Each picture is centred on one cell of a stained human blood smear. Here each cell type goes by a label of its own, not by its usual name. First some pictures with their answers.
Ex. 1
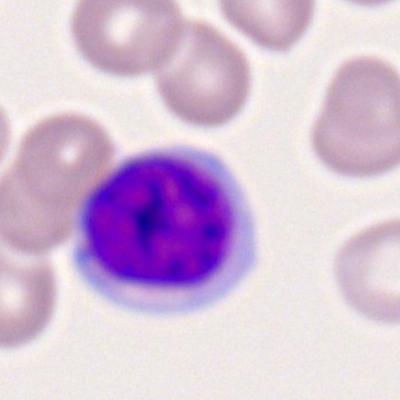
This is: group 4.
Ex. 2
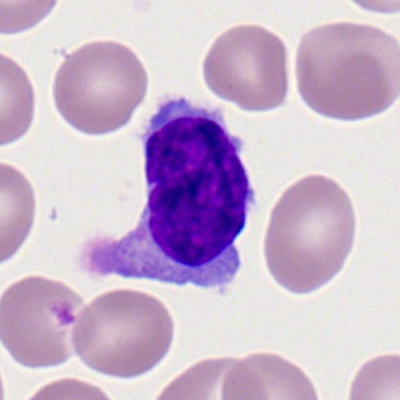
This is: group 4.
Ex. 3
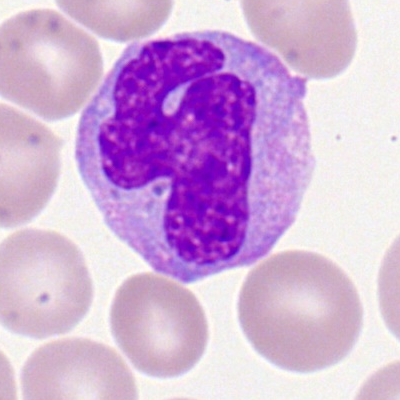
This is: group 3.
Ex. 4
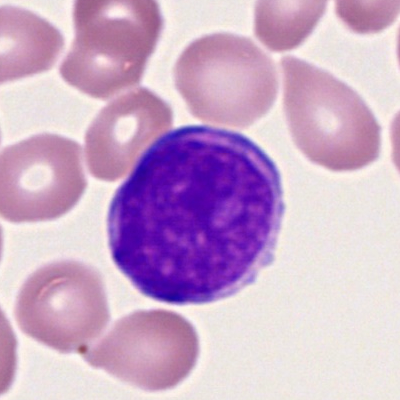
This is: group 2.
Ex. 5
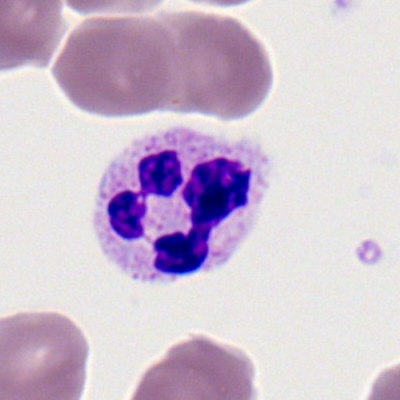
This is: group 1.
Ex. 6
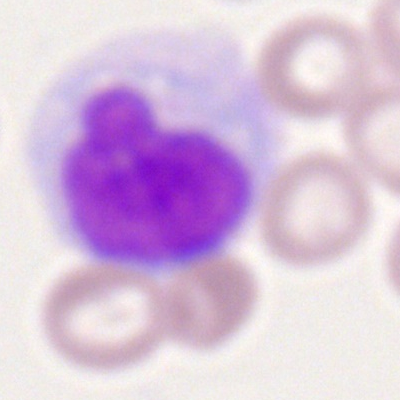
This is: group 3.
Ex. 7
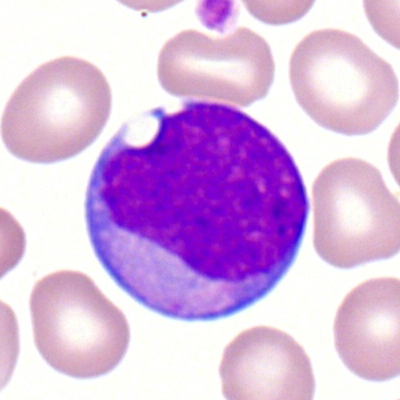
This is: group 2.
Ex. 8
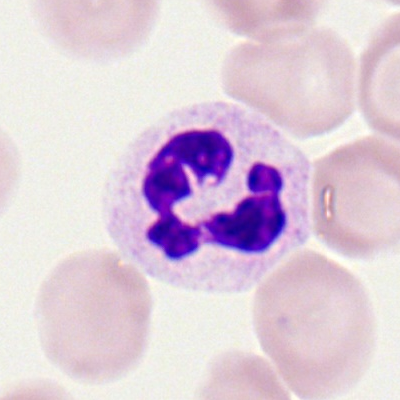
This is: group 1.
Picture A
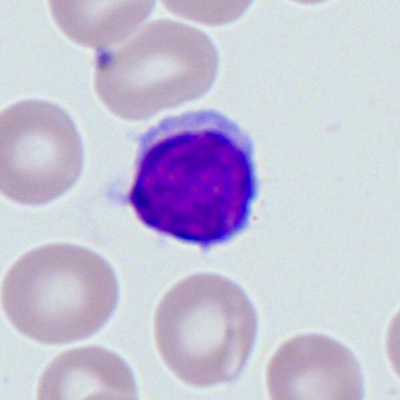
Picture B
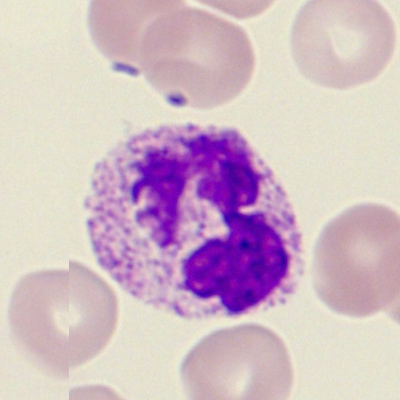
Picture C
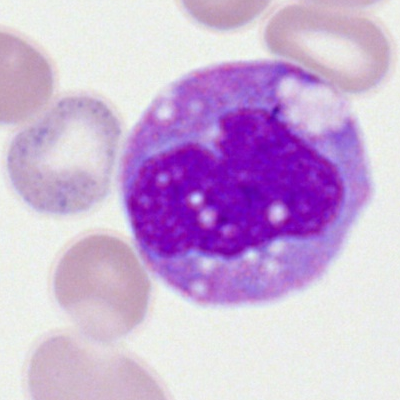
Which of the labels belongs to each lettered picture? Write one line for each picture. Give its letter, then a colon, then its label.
A: group 4.
B: group 1.
C: group 3.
